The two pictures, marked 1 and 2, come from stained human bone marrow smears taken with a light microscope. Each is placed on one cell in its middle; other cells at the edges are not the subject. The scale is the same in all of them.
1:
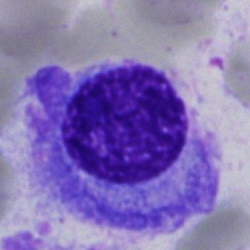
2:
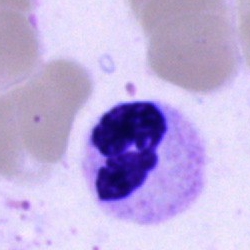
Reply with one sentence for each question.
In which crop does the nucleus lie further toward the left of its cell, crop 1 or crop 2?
In crop 2 the nucleus is shifted more toward the left.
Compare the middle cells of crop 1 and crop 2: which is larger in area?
It is the cell in crop 1, about 2 times as large in area as the cell in crop 2.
